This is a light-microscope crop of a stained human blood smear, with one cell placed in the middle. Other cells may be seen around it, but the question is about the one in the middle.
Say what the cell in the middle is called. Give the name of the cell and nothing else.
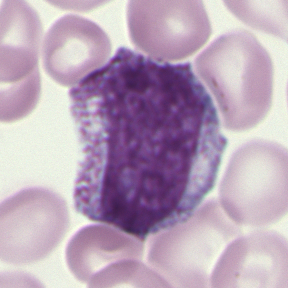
myelocyte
